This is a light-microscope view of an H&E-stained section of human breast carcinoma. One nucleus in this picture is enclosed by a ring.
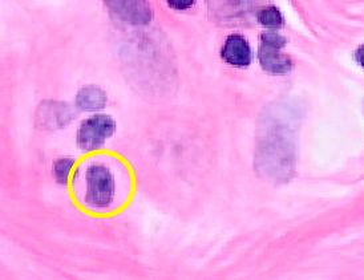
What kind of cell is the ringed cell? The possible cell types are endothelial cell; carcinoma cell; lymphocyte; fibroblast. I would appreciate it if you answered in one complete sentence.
Among the cells in this section, the ringed cell is a lymphocyte.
